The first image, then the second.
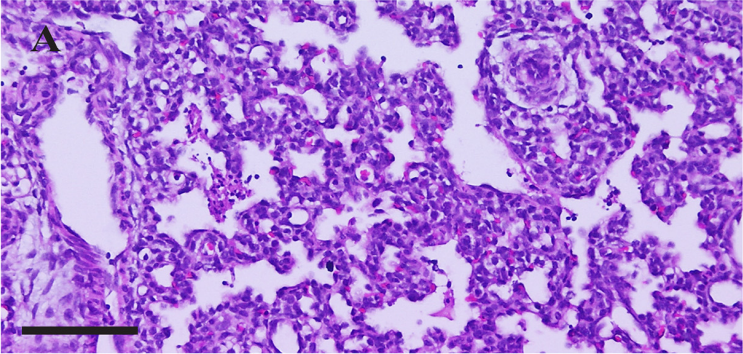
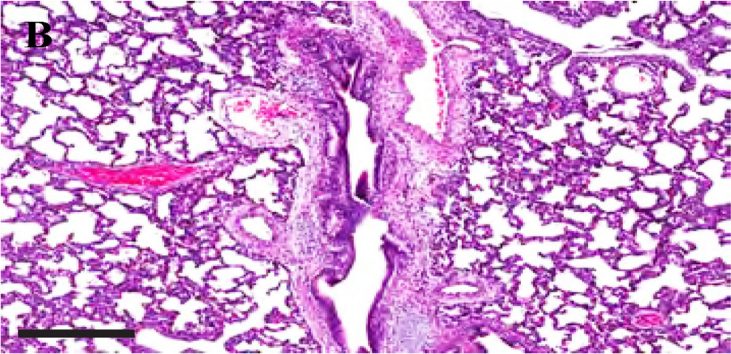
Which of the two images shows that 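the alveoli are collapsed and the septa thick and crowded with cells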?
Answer: the first image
